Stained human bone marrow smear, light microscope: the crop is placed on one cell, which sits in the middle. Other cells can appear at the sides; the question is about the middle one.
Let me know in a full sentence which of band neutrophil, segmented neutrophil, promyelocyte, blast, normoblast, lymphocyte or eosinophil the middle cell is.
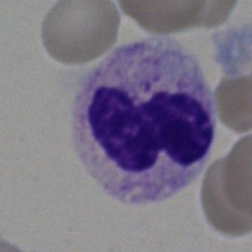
Of the cells in this crop, the central one is a segmented neutrophil.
